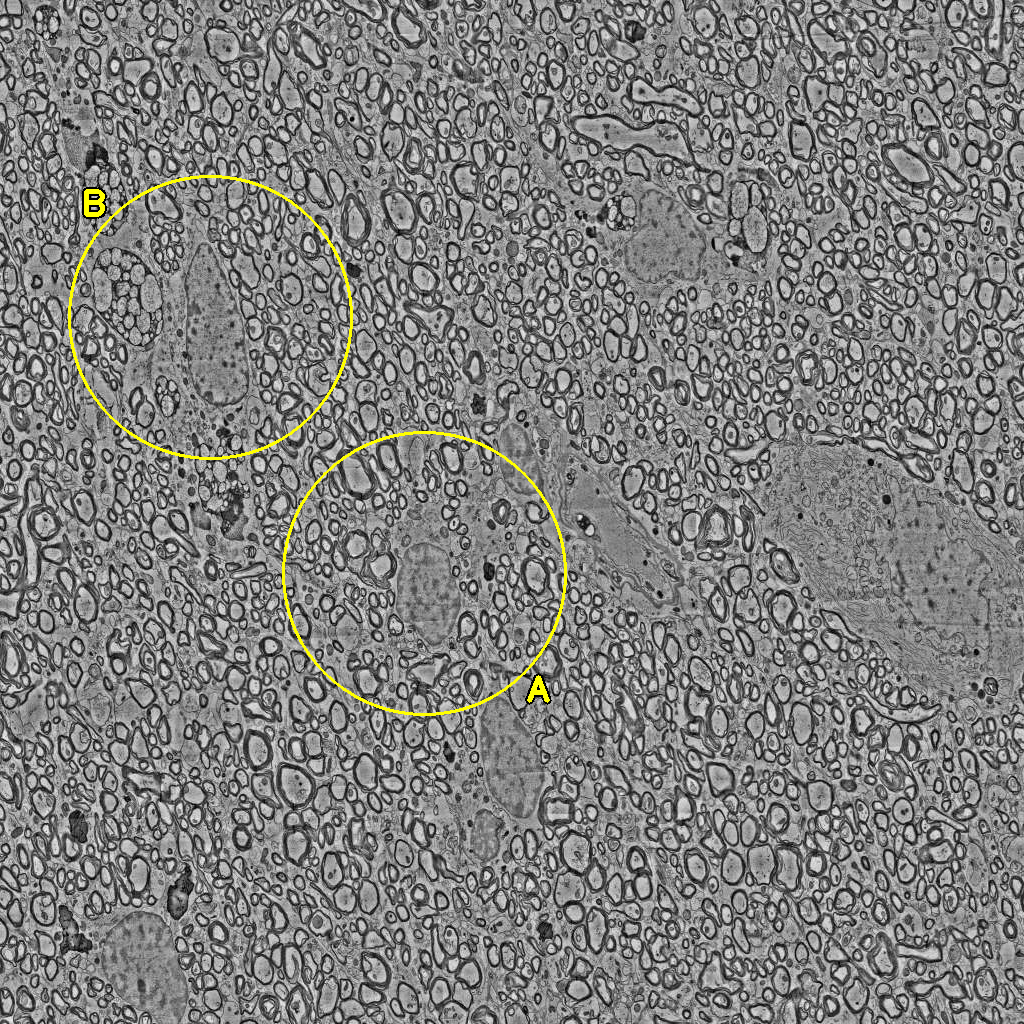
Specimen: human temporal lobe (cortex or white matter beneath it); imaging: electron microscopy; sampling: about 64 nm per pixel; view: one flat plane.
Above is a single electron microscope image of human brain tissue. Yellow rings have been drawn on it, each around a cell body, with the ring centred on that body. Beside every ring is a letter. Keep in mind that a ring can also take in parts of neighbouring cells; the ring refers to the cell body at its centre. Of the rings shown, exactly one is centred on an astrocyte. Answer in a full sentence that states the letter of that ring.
The cell at the centre of ring B is the one asked for.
